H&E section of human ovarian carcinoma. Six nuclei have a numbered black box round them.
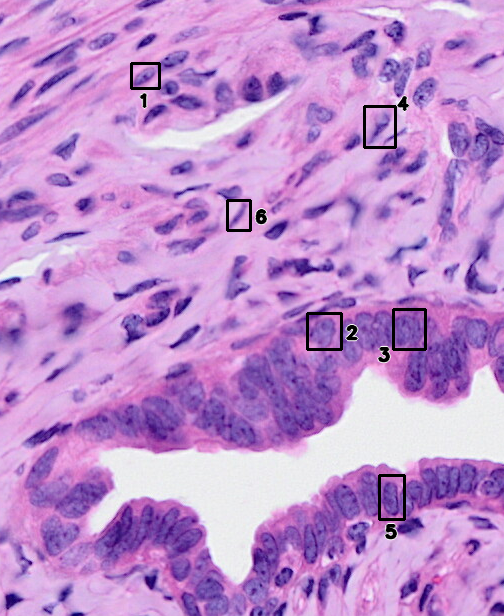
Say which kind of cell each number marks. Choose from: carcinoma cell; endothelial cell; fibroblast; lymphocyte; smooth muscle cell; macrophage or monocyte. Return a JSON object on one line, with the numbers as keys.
{"1": "smooth muscle cell", "2": "carcinoma cell", "3": "carcinoma cell", "4": "smooth muscle cell", "5": "carcinoma cell", "6": "smooth muscle cell"}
